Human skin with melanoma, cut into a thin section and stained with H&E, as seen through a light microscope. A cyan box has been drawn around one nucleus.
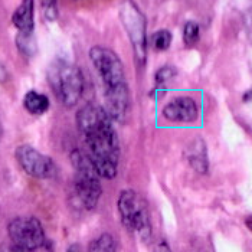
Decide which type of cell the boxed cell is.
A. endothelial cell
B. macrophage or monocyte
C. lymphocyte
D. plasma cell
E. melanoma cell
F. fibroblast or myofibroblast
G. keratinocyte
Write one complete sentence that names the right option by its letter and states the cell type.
Option B holds, since the boxed cell is a macrophage or monocyte.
